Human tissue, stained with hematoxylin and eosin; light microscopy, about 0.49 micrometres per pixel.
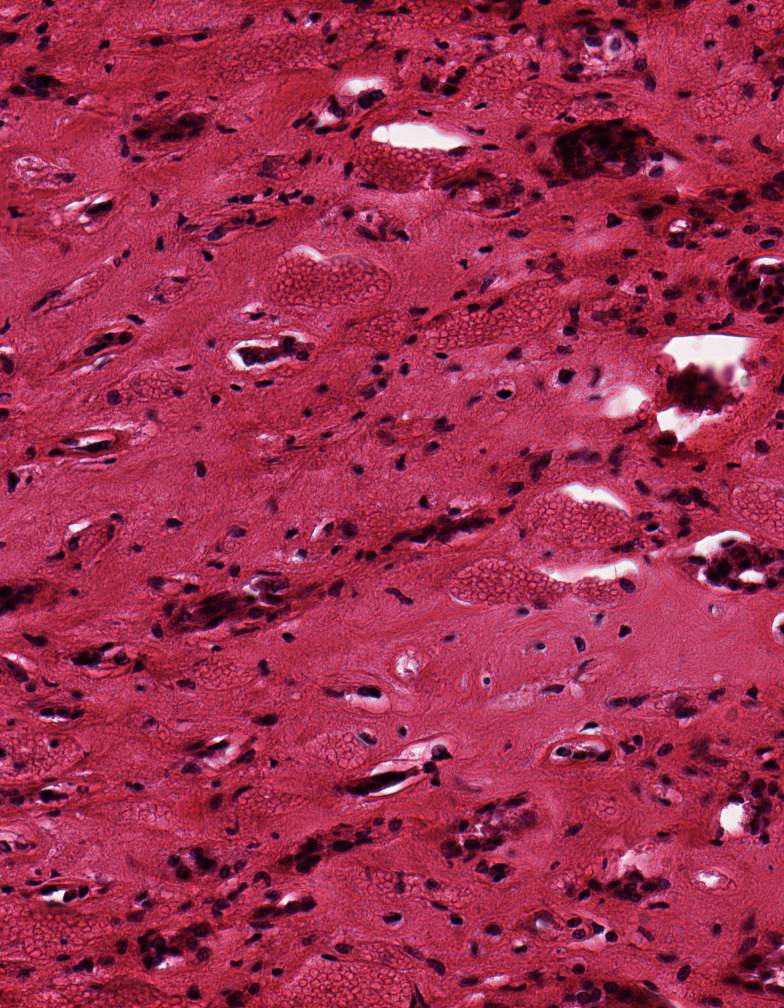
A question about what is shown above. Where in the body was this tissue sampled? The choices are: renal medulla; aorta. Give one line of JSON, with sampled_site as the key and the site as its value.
{"sampled_site": "renal medulla"}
